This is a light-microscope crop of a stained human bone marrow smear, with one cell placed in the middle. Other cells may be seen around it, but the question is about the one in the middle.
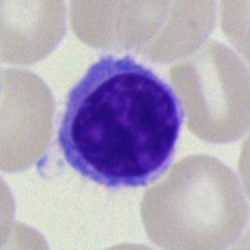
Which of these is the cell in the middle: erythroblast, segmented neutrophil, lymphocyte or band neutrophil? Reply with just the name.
lymphocyte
